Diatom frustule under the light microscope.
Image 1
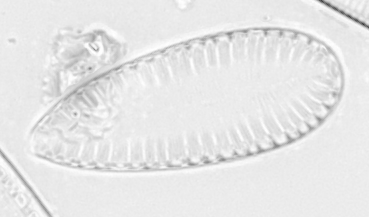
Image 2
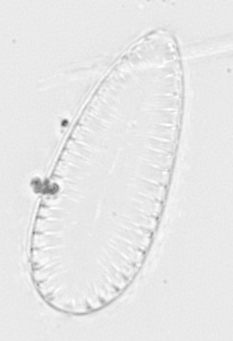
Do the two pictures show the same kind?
Yes, both are Surirella.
